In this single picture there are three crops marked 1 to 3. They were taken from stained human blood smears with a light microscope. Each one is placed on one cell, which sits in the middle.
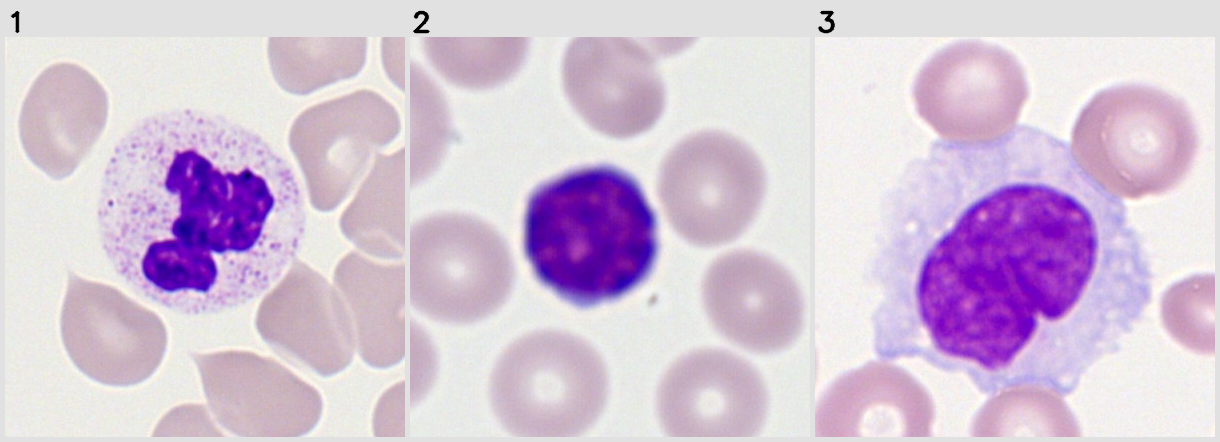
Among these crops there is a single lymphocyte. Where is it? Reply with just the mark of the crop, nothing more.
2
